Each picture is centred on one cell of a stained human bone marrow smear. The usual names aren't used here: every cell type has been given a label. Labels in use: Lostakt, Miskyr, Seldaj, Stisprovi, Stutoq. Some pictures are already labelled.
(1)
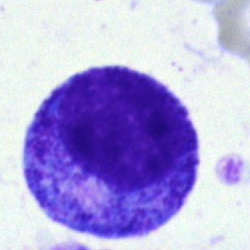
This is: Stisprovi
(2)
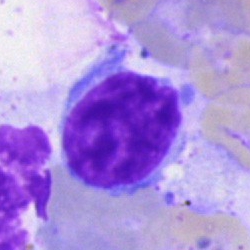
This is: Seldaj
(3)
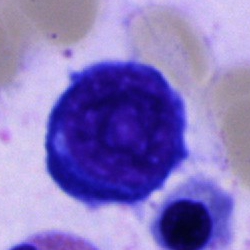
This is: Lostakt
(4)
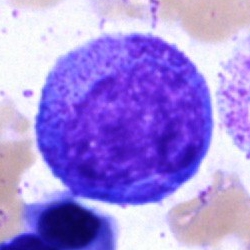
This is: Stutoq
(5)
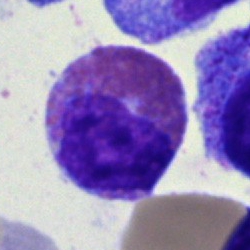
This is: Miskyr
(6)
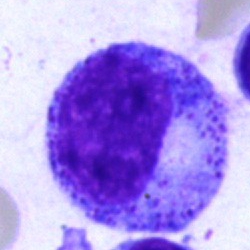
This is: Stutoq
